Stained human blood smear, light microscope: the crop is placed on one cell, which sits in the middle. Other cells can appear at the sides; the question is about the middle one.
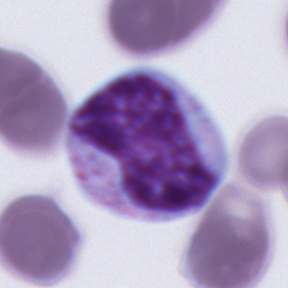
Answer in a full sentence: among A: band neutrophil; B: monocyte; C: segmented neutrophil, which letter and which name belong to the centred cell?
Of the options given, A is correct, the central cell being a band neutrophil.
